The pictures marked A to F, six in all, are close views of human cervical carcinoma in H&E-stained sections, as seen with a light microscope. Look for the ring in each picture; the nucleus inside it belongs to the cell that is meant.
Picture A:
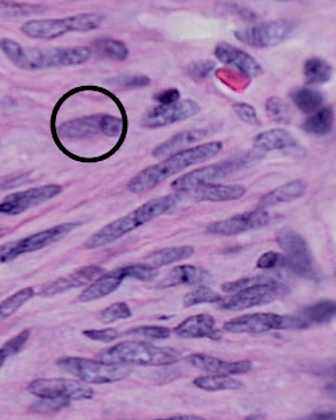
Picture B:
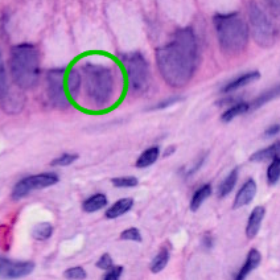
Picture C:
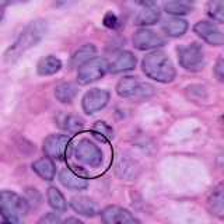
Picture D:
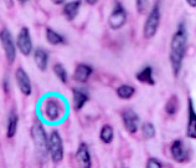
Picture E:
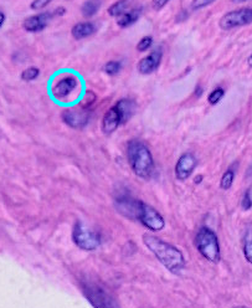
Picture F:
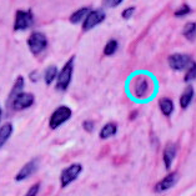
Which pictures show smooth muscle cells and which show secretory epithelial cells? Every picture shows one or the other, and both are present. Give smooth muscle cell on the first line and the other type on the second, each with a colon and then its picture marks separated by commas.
smooth muscle cell: A, D, E, F
secretory epithelial cell: B, C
